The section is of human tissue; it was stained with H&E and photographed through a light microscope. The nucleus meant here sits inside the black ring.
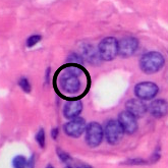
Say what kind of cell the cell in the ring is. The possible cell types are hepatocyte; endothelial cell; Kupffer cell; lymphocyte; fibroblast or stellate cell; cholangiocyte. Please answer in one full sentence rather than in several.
Labelled by cell type, the cell in the ring is a cholangiocyte.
